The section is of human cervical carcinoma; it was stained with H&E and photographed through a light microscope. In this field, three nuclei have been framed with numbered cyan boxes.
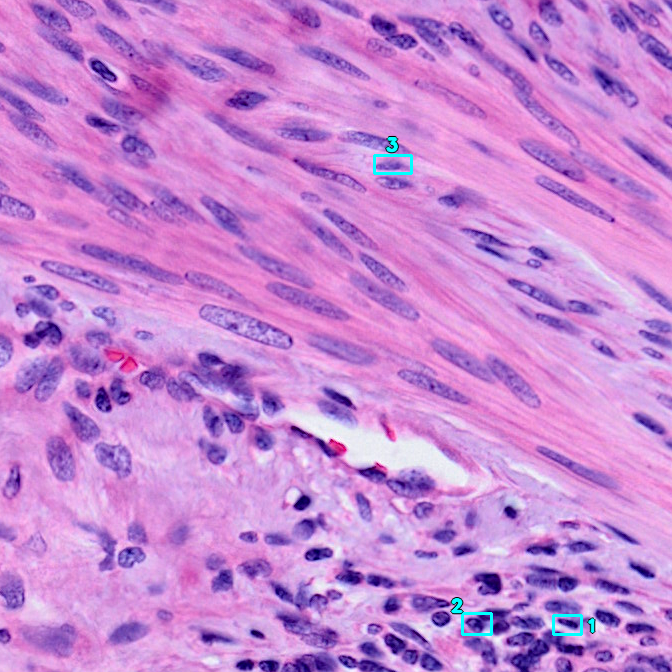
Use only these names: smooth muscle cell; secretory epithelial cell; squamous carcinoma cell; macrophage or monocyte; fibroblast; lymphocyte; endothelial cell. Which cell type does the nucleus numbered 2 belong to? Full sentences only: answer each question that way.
The one labeled 2 is a lymphocyte, to put it simply.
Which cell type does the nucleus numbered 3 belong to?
The correct answer for cell 3 is a smooth muscle cell.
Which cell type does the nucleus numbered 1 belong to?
The cell identified by number 1 is a lymphocyte.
